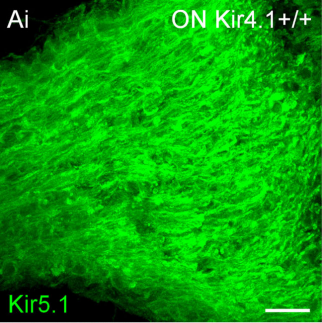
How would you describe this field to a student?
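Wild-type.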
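The fibres run roughly in parallel, sweeping diagonally across the field as a dense bundle, and the label follows them as long, bright, slightly wavy strands rather than as isolated cell bodies. Individual fibres can be followed over some distance, with thin darker gaps between neighbouring strands. The labelling is strong and fairly even across the whole tract, fading only toward the dark background at the upper and lower corners, where the bundle ends.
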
